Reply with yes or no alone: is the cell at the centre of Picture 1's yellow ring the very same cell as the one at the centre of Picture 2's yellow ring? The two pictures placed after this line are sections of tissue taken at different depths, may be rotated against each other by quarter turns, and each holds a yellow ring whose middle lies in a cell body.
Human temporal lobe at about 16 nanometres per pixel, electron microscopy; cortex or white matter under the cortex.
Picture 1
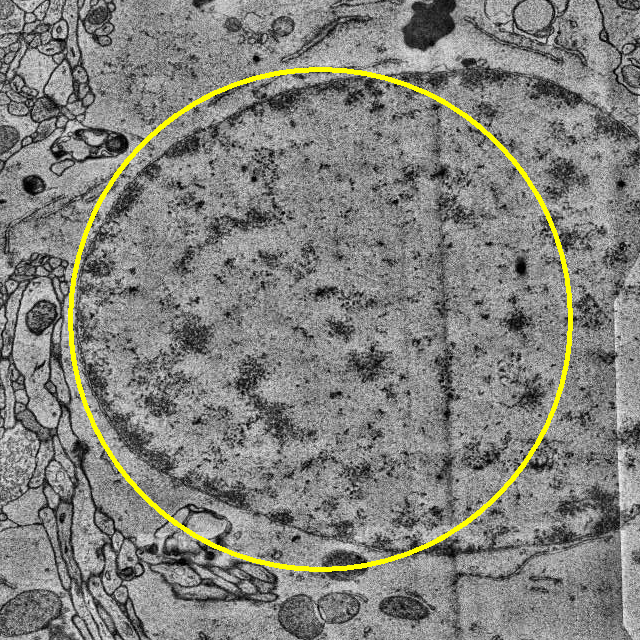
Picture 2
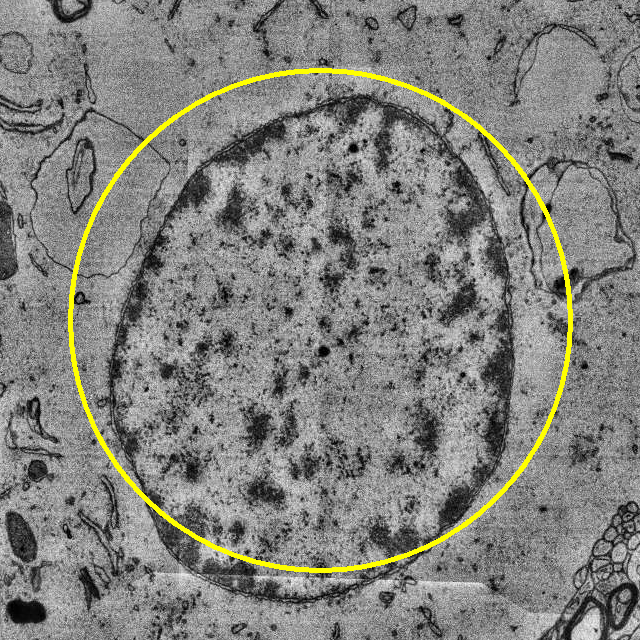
no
